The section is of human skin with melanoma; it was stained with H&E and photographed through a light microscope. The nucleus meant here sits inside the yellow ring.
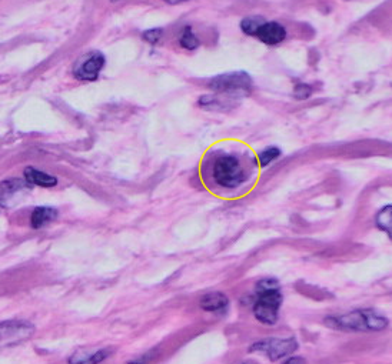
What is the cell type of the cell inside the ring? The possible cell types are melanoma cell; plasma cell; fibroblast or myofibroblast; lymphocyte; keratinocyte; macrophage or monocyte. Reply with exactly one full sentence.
In this preparation, the cell inside the ring is a plasma cell.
